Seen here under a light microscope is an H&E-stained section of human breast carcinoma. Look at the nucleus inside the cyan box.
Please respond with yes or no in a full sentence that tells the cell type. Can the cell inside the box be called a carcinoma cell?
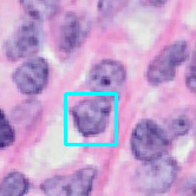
Yes, regarding cell type, the cell inside the box is a carcinoma cell.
